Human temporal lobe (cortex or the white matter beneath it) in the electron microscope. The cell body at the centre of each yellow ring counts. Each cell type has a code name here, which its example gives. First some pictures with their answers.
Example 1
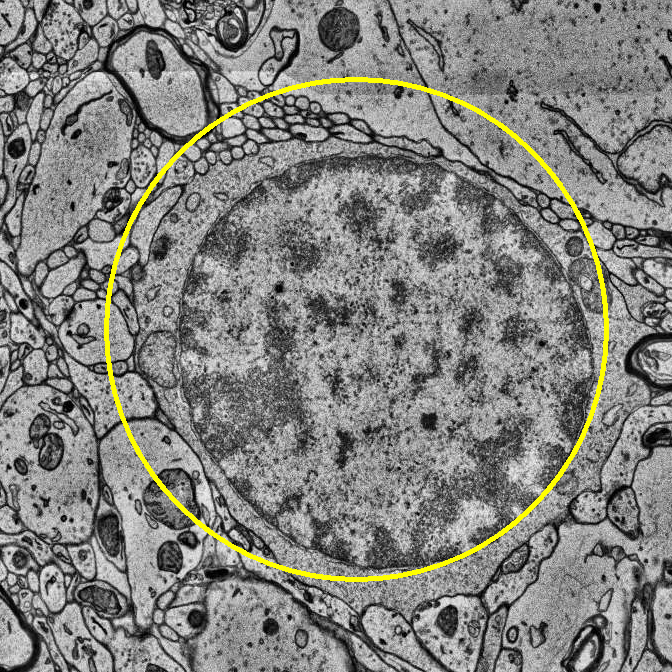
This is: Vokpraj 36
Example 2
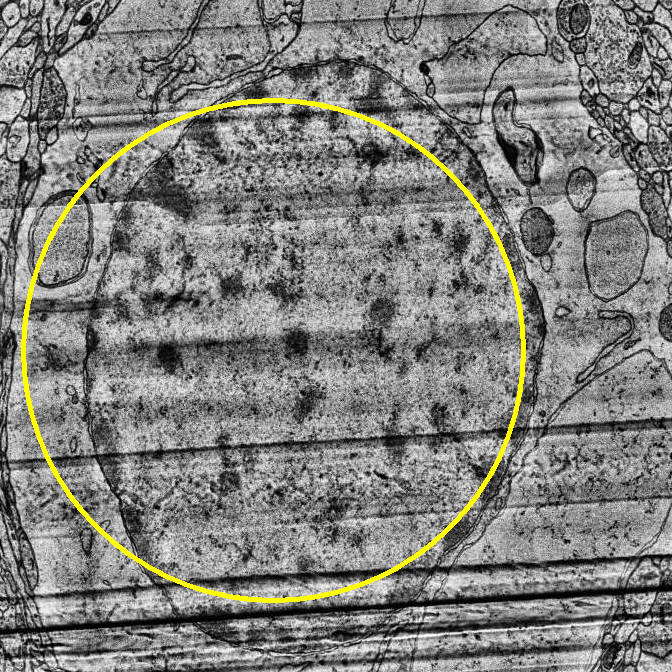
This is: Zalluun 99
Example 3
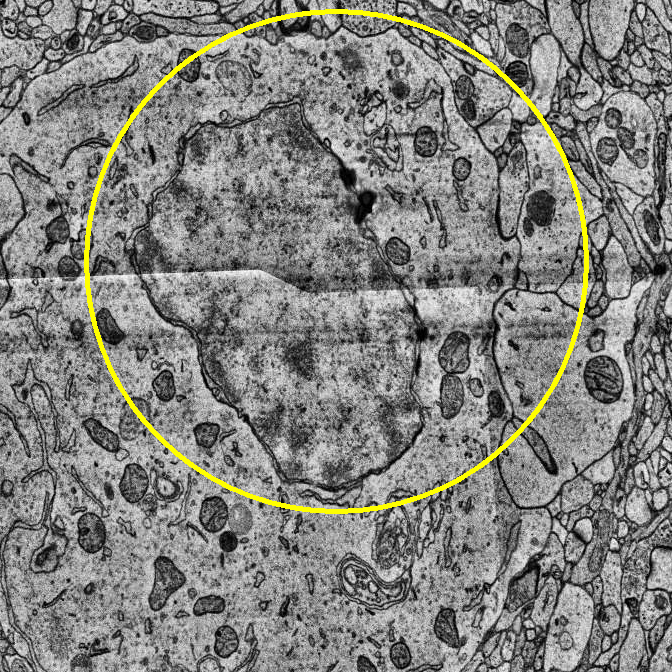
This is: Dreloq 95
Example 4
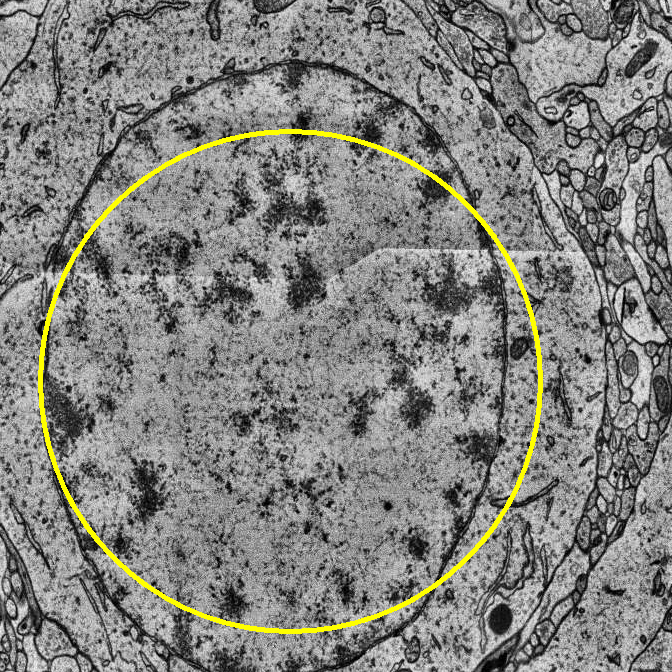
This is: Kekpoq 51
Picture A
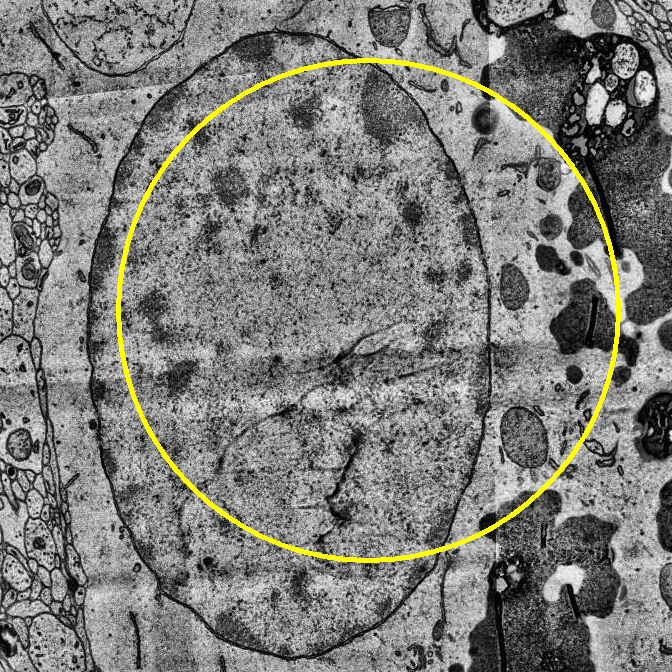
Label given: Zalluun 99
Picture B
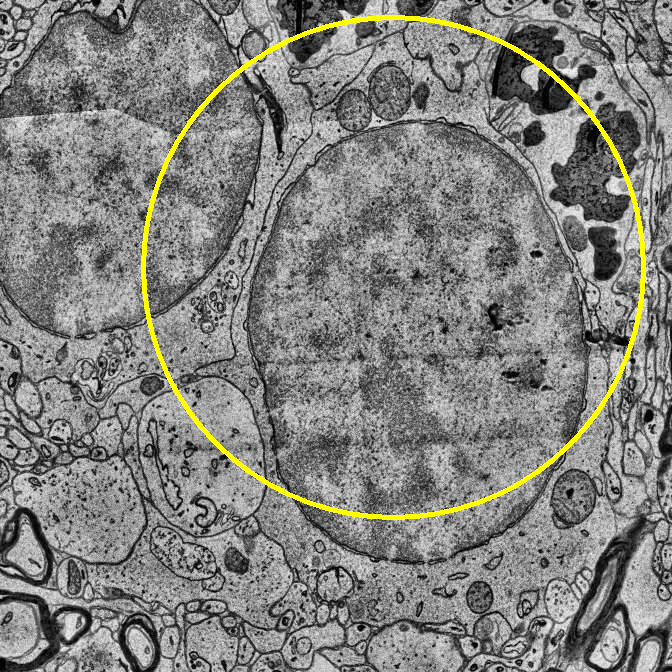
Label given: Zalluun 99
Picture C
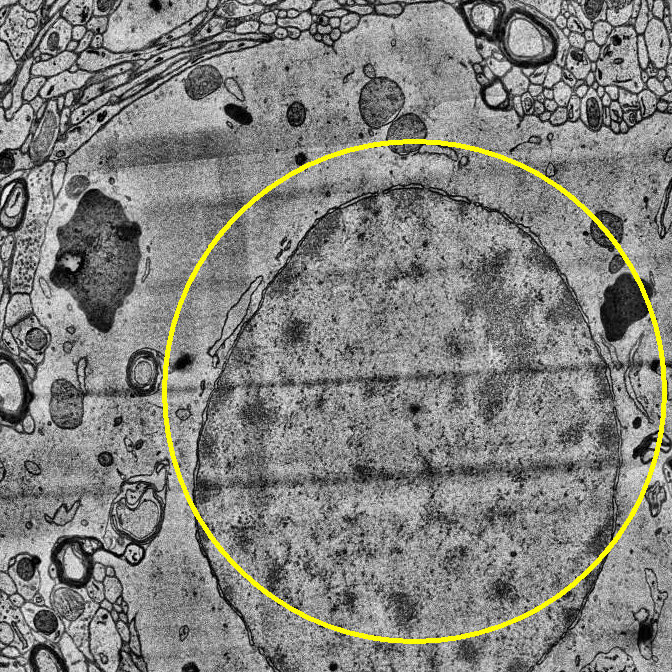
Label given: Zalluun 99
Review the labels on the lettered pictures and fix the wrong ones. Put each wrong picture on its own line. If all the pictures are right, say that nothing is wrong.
B: Vokpraj 36, not Zalluun 99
